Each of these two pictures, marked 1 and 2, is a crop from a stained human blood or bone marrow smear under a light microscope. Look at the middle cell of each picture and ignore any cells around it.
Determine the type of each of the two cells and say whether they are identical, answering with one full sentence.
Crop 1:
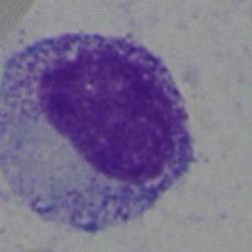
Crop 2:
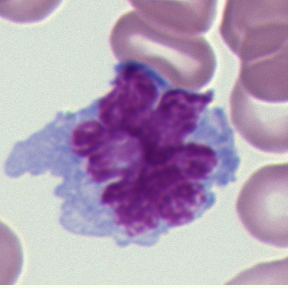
No, crop 1 and crop 2 contain, respectively, a myelocyte and a monocyte.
